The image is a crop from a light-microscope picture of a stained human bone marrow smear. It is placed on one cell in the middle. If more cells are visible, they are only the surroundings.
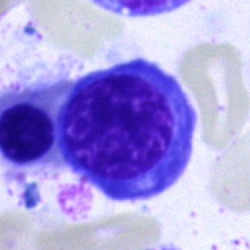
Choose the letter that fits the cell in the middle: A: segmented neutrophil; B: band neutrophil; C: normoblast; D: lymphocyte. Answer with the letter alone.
C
